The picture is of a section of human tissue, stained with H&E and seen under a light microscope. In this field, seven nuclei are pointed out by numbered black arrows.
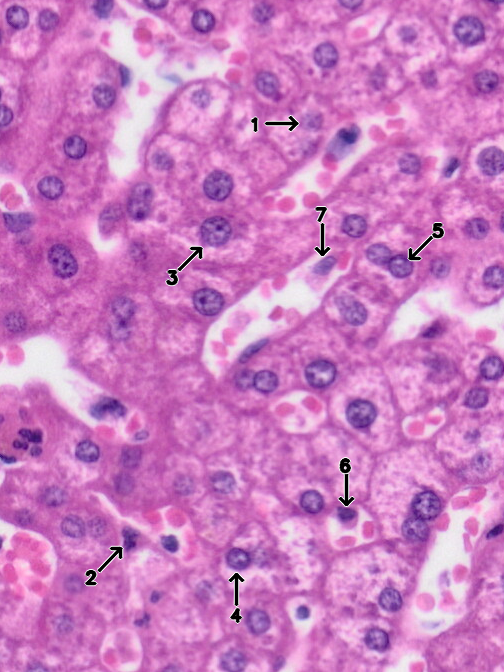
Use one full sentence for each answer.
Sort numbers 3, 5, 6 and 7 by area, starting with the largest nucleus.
The nuclei rank 3, 5, 7, 6, from largest to smallest.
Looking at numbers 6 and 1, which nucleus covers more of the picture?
Nucleus 1 covers more area, about 1.5 times as much as nucleus 6.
